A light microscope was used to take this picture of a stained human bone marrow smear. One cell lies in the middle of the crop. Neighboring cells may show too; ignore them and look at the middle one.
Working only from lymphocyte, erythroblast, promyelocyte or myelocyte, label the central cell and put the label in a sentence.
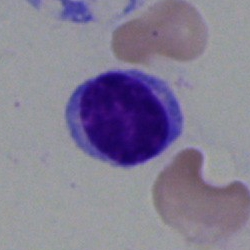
The identification for the central cell is a lymphocyte.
